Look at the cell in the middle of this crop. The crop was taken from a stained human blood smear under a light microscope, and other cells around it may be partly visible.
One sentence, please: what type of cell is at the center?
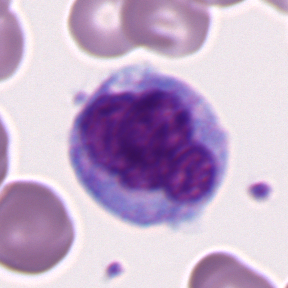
The middle position in this crop is taken by a monocyte.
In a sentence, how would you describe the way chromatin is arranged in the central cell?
The chromatin is fine, with no coarse clumping anywhere.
